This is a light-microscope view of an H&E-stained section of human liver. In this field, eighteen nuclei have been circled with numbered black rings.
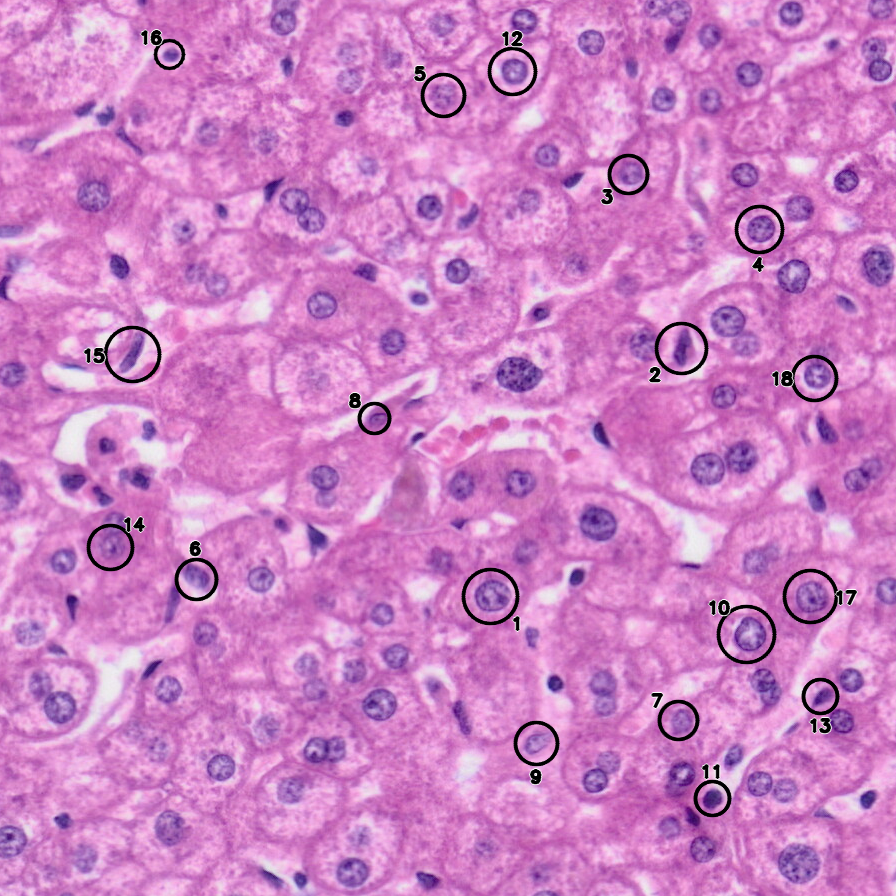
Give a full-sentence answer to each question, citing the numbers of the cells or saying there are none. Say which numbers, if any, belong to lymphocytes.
The cells marked by the numbers 11 and 16 are lymphocytes.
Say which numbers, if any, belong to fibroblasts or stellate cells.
Of the cells marked with numbers, cell 13 is the only one that is a fibroblast or stellate cell.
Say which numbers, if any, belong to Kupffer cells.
The cells whose numbers are 2, 6, 8, 9 and 15 are Kupffer cells.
